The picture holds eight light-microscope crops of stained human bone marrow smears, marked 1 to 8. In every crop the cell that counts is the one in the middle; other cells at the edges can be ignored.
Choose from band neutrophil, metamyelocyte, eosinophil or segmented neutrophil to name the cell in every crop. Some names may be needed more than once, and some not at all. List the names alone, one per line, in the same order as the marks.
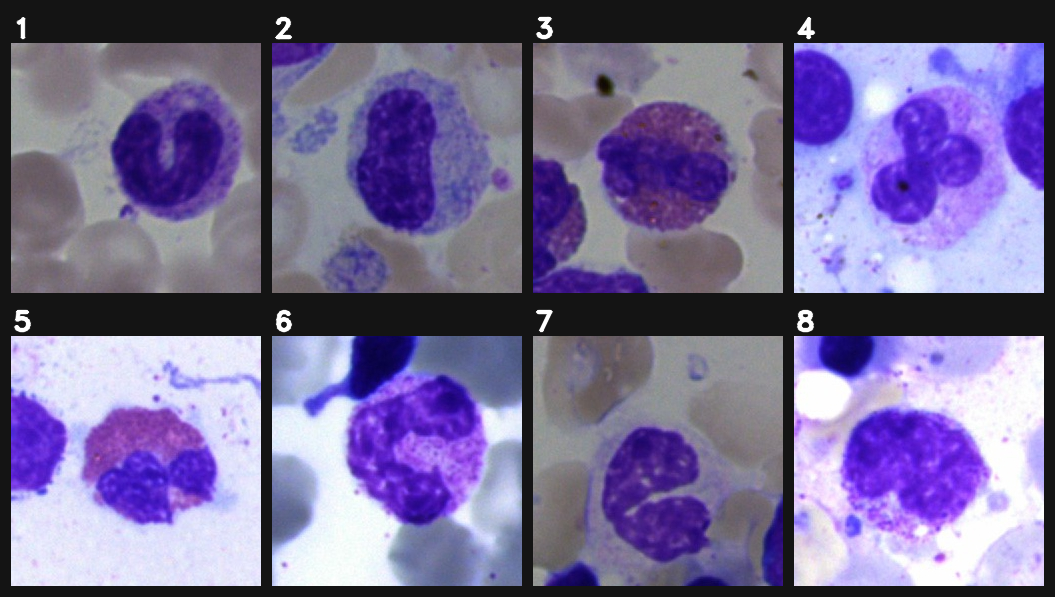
band neutrophil
metamyelocyte
eosinophil
segmented neutrophil
eosinophil
band neutrophil
segmented neutrophil
metamyelocyte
